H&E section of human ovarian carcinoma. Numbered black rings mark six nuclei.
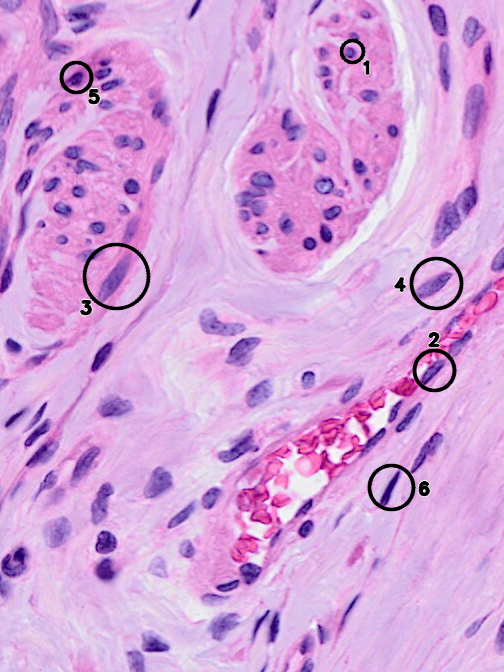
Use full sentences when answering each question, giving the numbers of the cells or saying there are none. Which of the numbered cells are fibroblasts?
Only the cell marked 6 is a fibroblast.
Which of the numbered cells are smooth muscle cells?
Within this tissue, the cells numbered 1, 3, 4 and 5 are smooth muscle cells.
